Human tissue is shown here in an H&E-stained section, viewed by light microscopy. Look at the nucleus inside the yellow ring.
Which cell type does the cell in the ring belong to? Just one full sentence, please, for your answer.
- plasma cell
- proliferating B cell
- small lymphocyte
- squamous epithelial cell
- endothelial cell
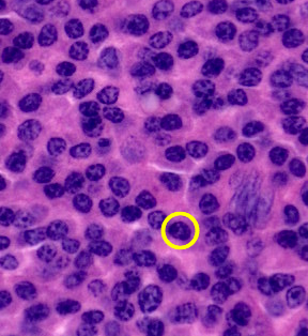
In cell-type terms, the cell in the ring is a plasma cell.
